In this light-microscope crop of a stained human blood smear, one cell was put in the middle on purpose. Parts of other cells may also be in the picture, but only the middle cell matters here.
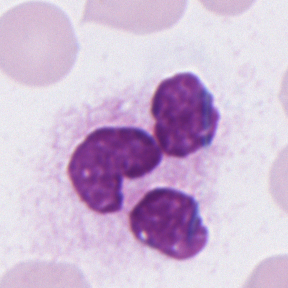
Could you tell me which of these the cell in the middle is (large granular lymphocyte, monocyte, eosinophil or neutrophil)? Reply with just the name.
neutrophil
